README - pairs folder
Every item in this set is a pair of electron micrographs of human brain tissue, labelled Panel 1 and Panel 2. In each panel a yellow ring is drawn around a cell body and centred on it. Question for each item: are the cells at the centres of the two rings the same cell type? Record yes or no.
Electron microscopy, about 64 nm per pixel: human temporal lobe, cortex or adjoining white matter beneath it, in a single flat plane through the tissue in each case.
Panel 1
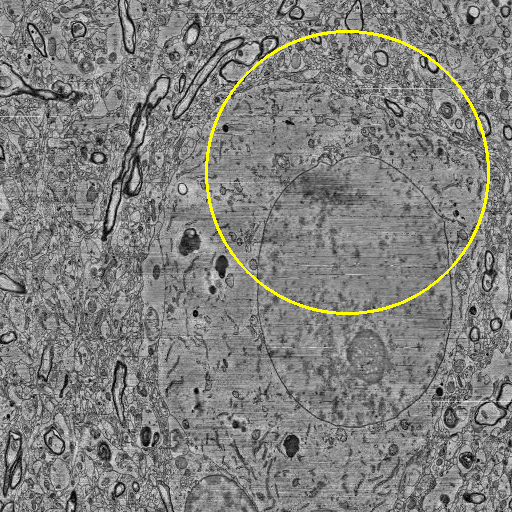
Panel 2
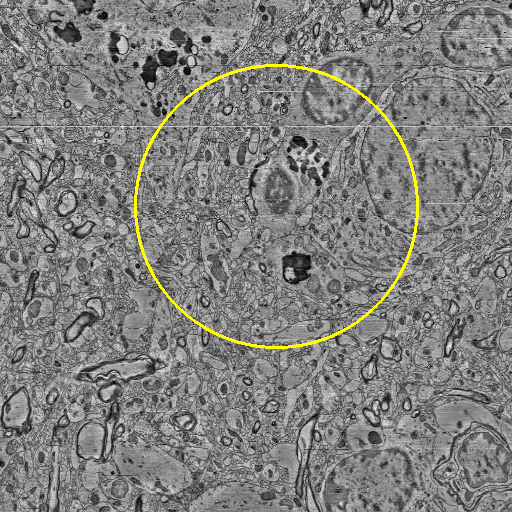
no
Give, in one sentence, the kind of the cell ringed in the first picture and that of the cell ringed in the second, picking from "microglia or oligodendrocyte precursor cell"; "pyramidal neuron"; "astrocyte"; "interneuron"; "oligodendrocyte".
For the first picture it is a pyramidal neuron; for the second, an oligodendrocyte.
